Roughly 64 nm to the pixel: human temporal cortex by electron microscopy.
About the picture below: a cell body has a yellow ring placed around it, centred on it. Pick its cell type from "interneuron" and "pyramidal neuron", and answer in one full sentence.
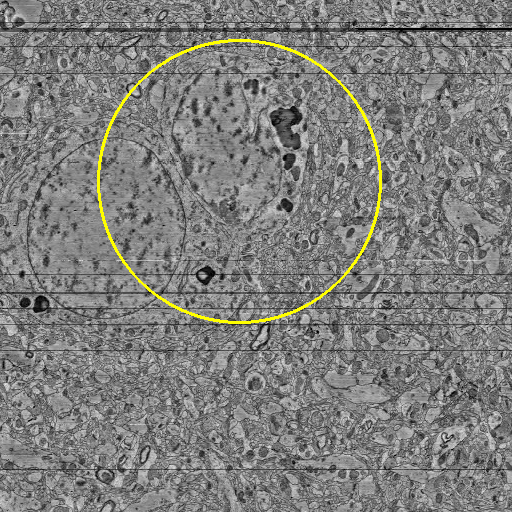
In the picture, an interneuron is the cell sitting at the centre of the yellow ring.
